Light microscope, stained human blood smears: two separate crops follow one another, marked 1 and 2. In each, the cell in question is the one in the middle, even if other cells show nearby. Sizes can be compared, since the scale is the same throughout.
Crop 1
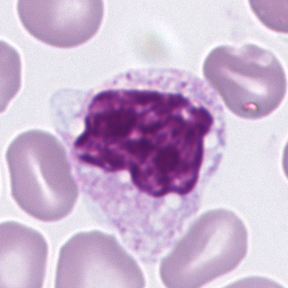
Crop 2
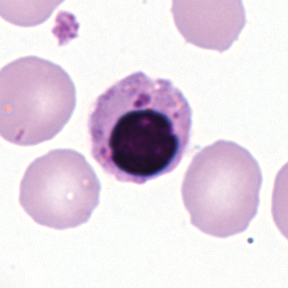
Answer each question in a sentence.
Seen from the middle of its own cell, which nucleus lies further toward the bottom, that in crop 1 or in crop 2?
In crop 2 the nucleus is shifted more toward the bottom.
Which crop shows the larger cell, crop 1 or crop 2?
It is the cell in crop 1, about 2.5 times as large in area as the cell in crop 2.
